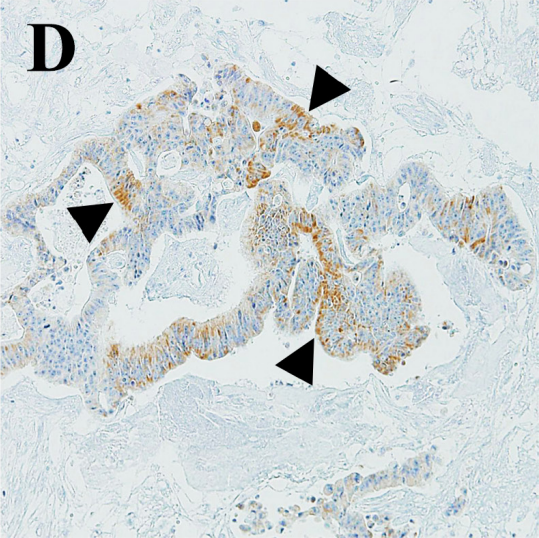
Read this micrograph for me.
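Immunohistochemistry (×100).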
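This view shows tumor epithelium arranged in folded, gland-like strips lined by tall columnar cells. The strips sit within pale, largely acellular background material. The nuclei are elongated, crowded and stained blue, and several are stacked at different levels within the lining. Brown granular staining fills the cytoplasm of some segments of the epithelium. Other segments take up only the blue counterstain and show no brown colour.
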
